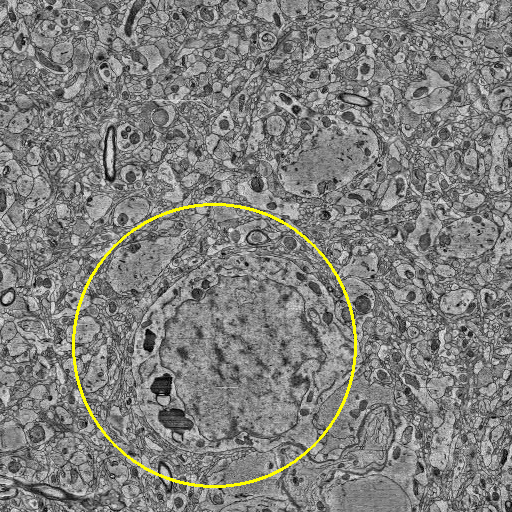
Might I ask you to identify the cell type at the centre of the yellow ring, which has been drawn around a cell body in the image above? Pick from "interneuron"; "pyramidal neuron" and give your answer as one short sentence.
The centre of the ring falls on an interneuron.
